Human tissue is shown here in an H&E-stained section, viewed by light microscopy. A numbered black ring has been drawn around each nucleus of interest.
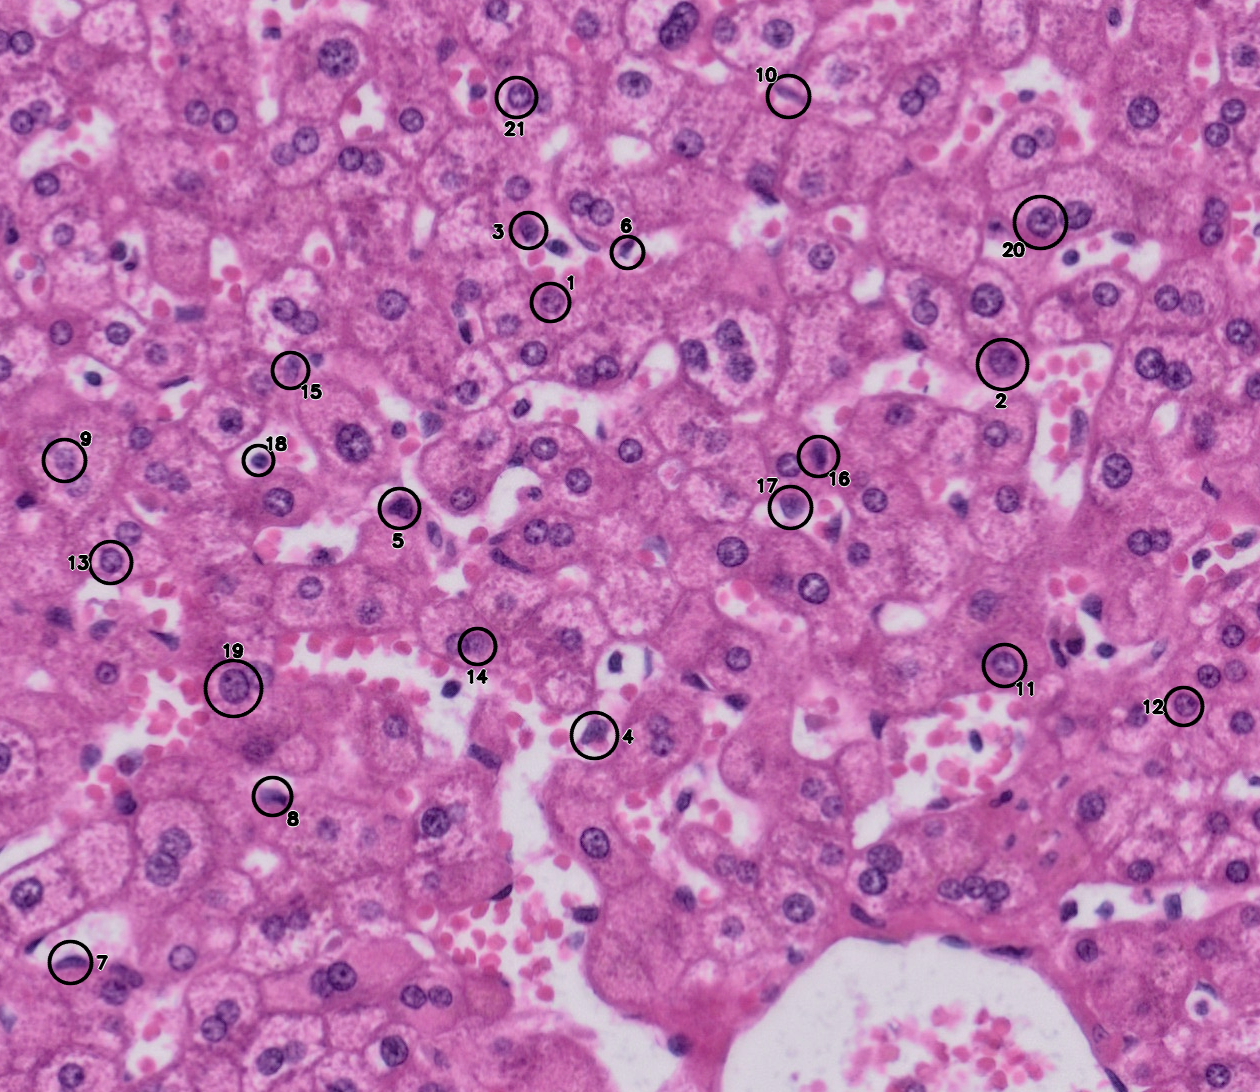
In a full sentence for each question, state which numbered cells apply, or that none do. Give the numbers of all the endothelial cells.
Into the category of endothelial cells fall the cells numbered 6 and 17.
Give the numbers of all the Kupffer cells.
The cells numbered 3, 4, 5, 8, 10 and 15 are of one kind: Kupffer cells.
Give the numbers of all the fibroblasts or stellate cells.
The numbers 7 and 16 in this section indicate fibroblasts or stellate cells.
